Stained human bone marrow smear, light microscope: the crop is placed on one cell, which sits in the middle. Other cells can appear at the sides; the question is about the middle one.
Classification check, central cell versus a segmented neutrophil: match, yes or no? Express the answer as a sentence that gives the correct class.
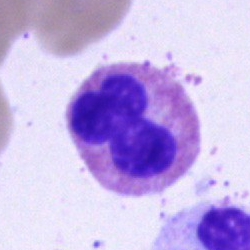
No, instead of being a segmented neutrophil, the middle cell is an eosinophil.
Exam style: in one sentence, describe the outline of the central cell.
Smooth outline, no projections: that is the whole story of its edge.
